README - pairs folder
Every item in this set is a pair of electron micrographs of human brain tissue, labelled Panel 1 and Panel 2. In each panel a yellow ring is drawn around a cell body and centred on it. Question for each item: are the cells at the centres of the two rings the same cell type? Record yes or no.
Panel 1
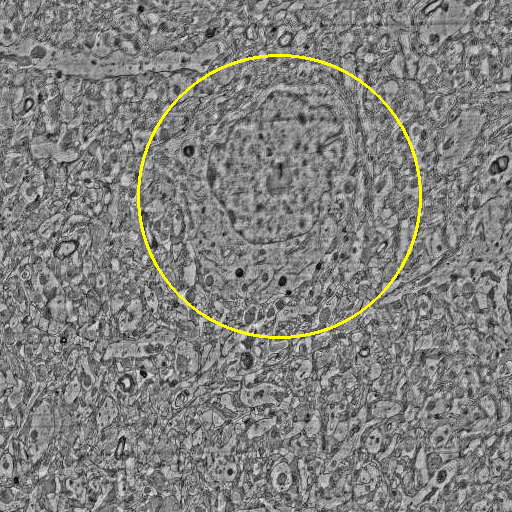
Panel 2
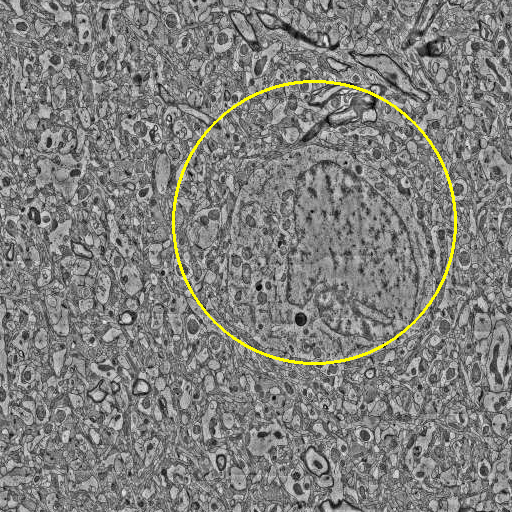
yes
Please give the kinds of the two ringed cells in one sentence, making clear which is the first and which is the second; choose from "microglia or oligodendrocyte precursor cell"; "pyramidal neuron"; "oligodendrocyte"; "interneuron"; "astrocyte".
Each cell, in the first picture and the second, is an interneuron.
